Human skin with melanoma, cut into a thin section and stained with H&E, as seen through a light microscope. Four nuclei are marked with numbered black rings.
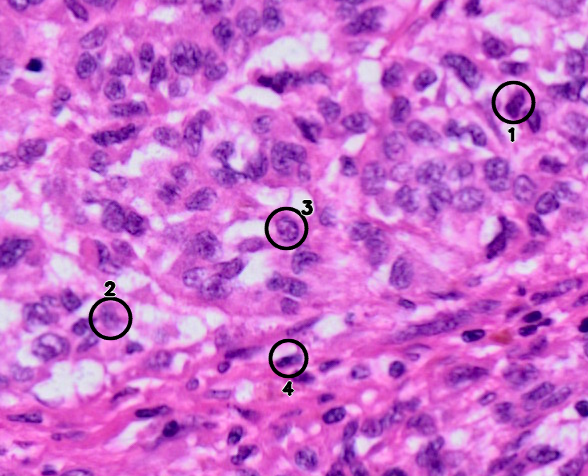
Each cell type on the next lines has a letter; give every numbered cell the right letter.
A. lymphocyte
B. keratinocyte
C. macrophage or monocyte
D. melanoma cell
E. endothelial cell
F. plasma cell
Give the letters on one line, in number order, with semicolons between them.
D; D; D; A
